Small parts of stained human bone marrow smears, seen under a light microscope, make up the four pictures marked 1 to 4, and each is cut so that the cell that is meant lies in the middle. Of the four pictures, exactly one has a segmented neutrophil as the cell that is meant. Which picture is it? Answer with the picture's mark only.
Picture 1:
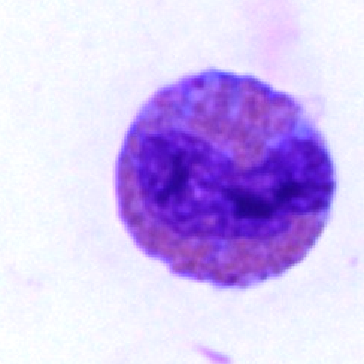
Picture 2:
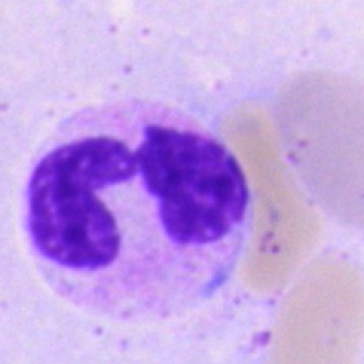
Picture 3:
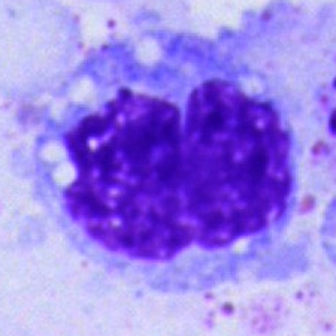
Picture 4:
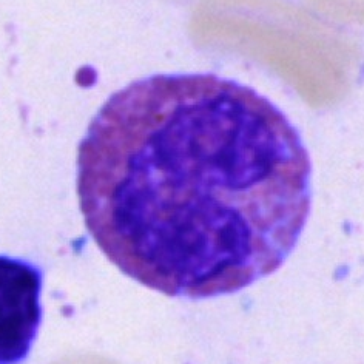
2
